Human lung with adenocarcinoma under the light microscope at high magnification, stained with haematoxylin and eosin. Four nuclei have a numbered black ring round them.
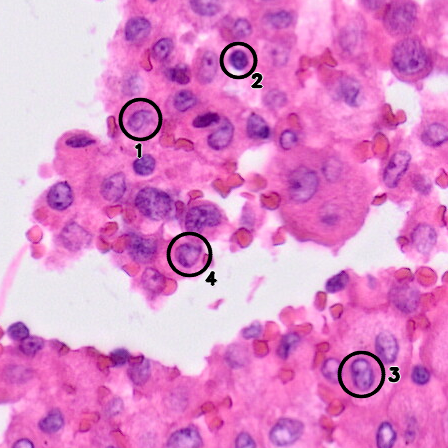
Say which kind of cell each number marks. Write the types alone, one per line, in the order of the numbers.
macrophage or monocyte
lymphocyte
macrophage or monocyte
macrophage or monocyte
